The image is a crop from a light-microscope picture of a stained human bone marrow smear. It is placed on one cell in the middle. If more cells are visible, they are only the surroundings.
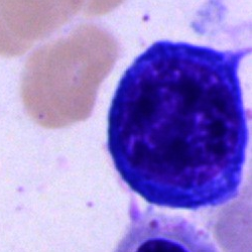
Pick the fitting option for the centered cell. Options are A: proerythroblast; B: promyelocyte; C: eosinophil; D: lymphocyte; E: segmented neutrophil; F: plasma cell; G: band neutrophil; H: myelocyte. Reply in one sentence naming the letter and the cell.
The cell in the center of this crop is a proerythroblast, so option A is the one to pick.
